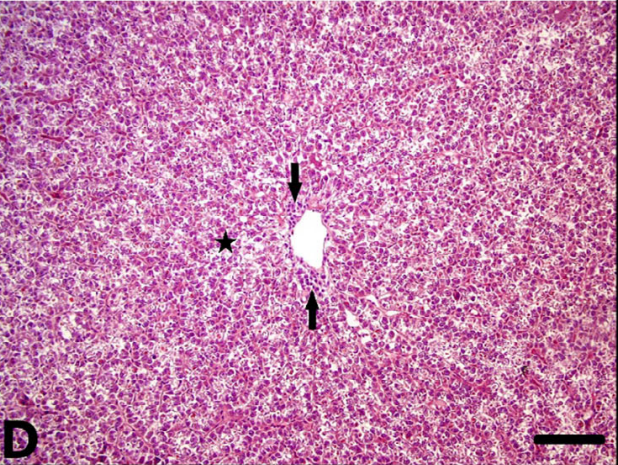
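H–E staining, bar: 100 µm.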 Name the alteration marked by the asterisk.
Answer: hydropic degeneration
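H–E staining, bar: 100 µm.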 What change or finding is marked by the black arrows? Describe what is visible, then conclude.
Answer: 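The arrows point to the edge of a central vessel lumen. Small, dark, round nuclei cluster along the vessel wall.
Answer: inflammatory cell infiltration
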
